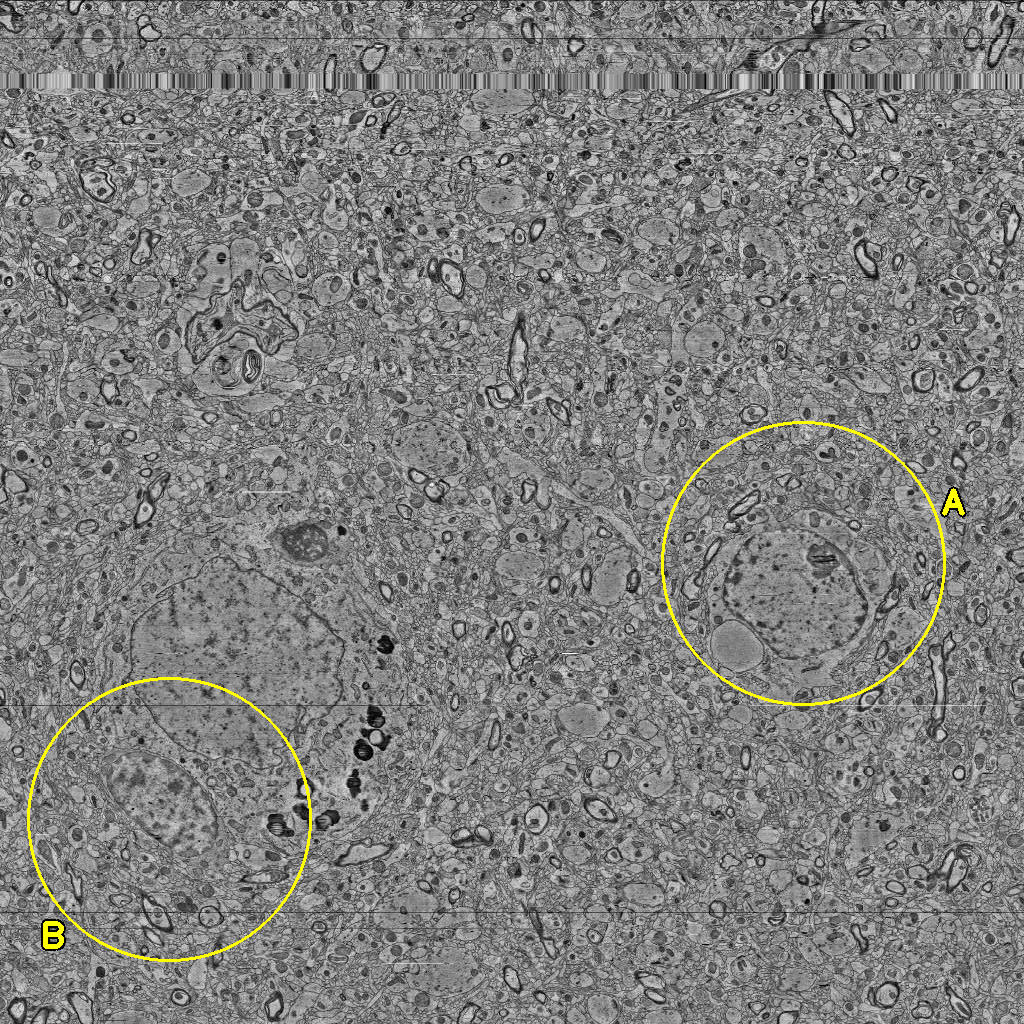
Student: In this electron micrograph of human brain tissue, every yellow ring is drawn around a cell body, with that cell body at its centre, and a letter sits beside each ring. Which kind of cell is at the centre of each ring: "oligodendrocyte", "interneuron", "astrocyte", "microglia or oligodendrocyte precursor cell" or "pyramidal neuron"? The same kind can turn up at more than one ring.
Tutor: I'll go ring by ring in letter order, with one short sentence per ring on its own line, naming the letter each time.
Ring A: the cell at its centre is an astrocyte.
Ring B: the cell at its centre is an oligodendrocyte.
